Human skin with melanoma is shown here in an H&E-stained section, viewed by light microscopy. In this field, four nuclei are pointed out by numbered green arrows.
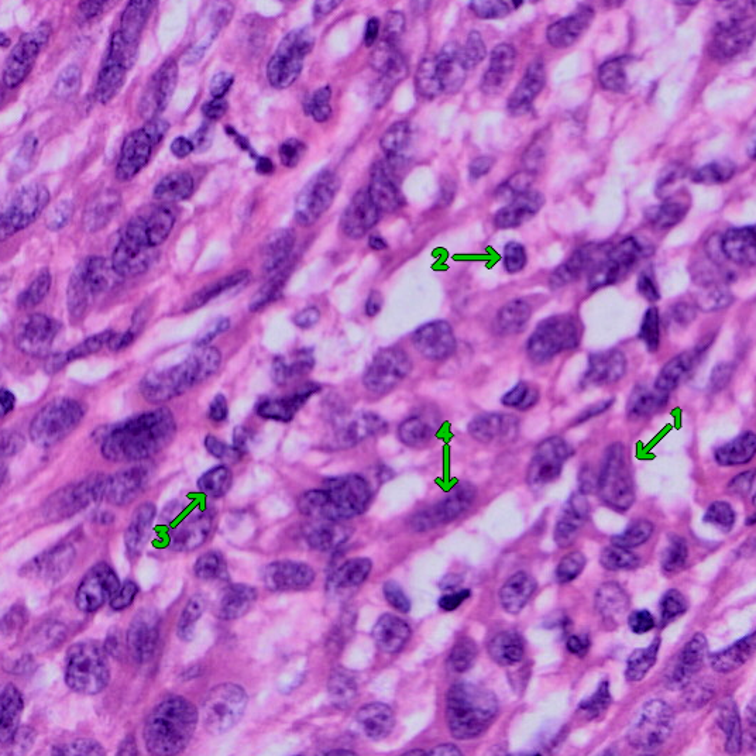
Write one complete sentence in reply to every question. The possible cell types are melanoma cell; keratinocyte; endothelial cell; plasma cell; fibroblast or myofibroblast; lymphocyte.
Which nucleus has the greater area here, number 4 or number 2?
At about 2.5 times the area of nucleus 2, nucleus 4 is the larger of the two.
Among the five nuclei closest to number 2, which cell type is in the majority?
The majority of the five nuclei closest to number 2 belong to melanoma cells.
